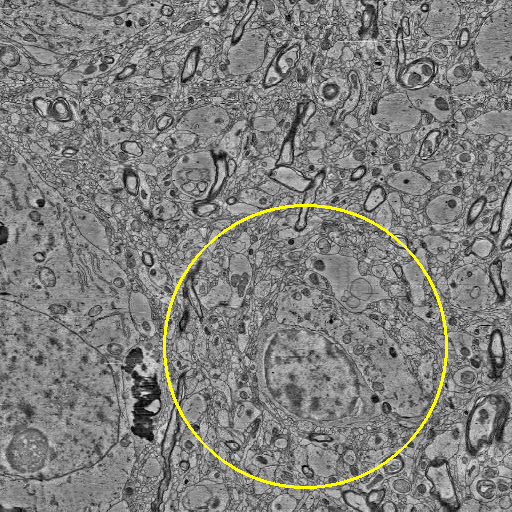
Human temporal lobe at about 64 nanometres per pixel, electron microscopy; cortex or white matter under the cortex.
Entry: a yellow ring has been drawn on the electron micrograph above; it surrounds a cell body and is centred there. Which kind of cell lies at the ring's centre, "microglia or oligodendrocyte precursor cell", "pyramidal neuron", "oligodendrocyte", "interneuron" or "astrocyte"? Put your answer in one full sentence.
The cell sitting at the ring's centre is an oligodendrocyte in the micrograph above.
